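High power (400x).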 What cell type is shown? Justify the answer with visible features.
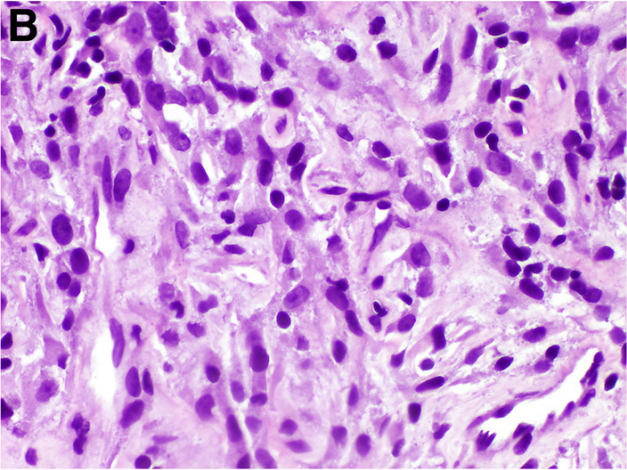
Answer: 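Nuclei are elongated to oval and fairly short. Nuclei vary in size and some are dark and enlarged. Cells lie in a pale pink fibrillary background. On this evidence: Short atypical spindle cells.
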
